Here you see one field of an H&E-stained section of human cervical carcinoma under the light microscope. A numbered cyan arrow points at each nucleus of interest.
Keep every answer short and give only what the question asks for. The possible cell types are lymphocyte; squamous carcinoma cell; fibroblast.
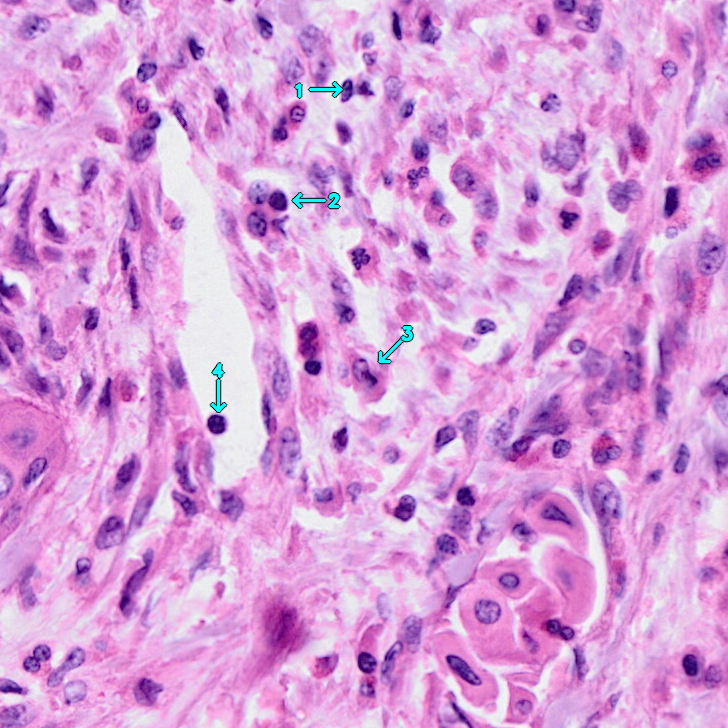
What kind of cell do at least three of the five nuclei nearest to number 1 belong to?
fibroblast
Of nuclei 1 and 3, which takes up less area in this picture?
1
